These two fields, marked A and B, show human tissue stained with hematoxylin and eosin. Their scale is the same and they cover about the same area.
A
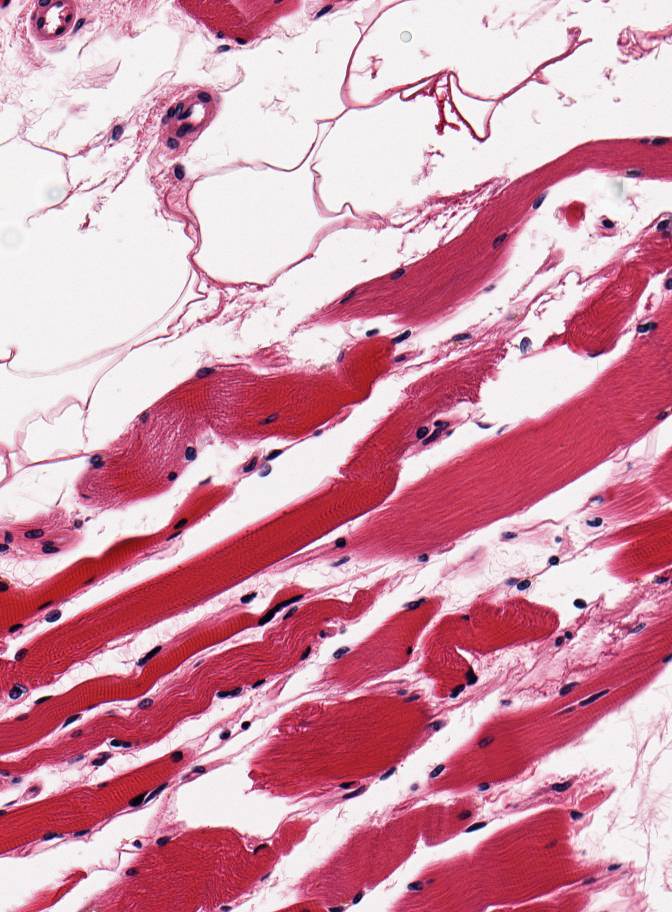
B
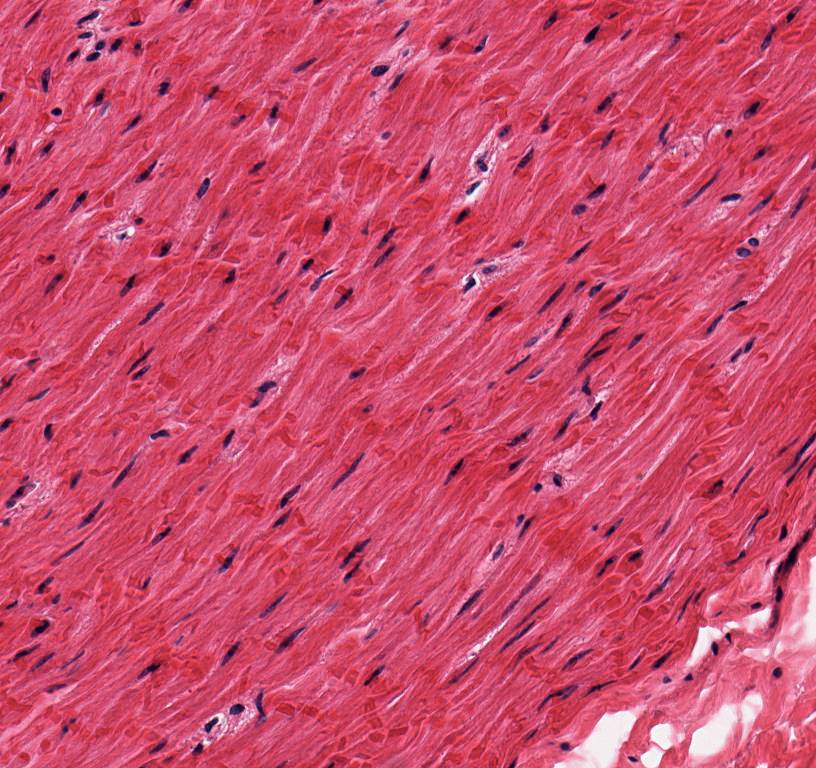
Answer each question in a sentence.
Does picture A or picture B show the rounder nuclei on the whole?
Rounder nuclei lie in picture A.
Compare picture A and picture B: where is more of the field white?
Picture A has more white space.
